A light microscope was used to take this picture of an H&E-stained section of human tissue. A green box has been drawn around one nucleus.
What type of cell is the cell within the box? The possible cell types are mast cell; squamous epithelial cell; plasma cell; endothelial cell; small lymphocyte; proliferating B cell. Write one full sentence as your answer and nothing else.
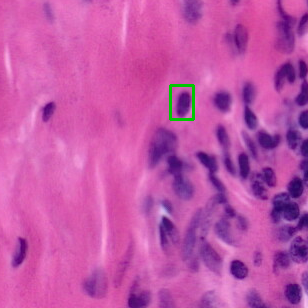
Just put down that the cell within the box is a mast cell.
